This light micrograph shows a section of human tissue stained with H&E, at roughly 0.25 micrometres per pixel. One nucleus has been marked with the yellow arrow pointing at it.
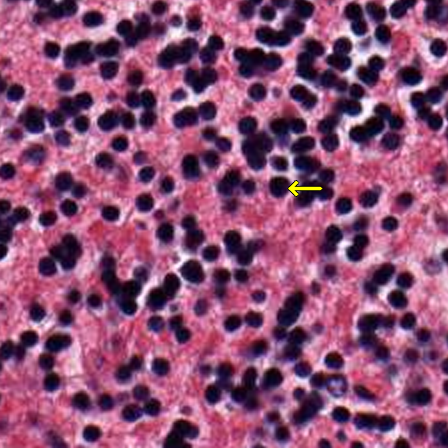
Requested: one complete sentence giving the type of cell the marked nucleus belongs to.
To a cerebellar granule cell belongs the marked nucleus.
